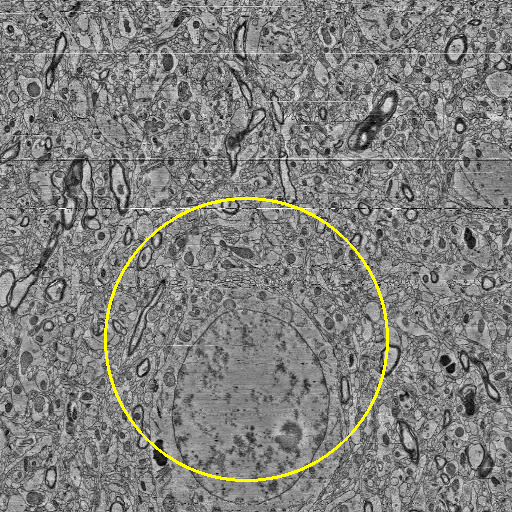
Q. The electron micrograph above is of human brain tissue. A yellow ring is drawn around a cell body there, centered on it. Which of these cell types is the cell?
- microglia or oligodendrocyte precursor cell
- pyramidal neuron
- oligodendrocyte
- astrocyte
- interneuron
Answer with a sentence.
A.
The cell under the ring's center is a pyramidal neuron.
